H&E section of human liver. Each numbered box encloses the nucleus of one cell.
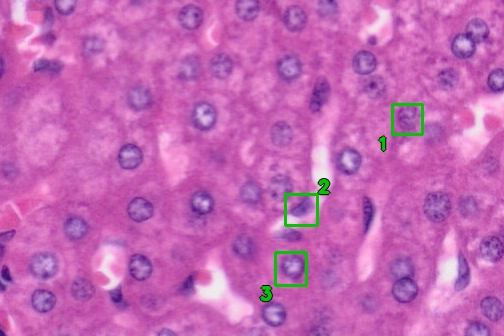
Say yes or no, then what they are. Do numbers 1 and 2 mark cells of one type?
No, cell 1 is a hepatocyte and cell 2 is an endothelial cell.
